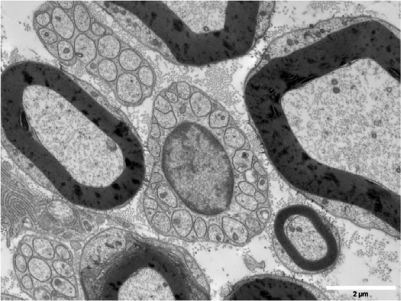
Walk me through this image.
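This electron micrograph of a peripheral nerve cross-section shows large myelinated axons, each surrounded by a thick, electron-dense dark ring of myelin, next to a bundle of unmyelinated nerve fibers. In the centre, a Schwann cell with an oval nucleus holds many small round axons, each tucked into its own pocket of pale cytoplasm. One much smaller axon with a thin dark sheath lies at the edge of the bundle. The pale axoplasm of the fibers contains scattered small organelles, and the spaces between the fibers hold fine fibrillar material.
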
